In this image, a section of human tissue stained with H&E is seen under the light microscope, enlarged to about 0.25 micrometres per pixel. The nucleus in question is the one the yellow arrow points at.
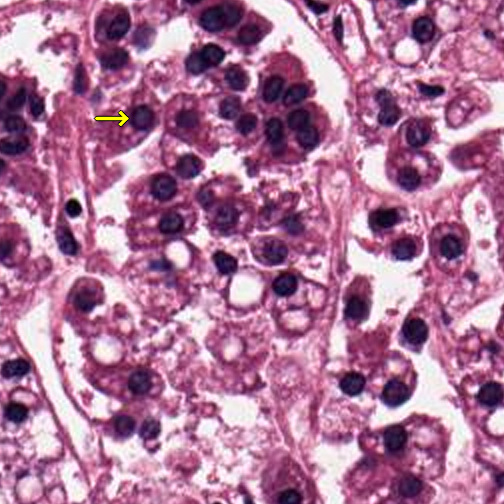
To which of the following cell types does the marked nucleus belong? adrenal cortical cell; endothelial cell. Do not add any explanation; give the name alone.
adrenal cortical cell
